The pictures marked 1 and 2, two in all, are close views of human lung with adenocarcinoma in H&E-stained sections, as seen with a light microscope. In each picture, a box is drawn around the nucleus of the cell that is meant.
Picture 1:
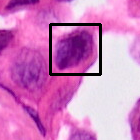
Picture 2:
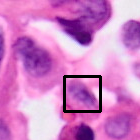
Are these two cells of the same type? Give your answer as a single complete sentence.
Yes, both are carcinoma cells.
